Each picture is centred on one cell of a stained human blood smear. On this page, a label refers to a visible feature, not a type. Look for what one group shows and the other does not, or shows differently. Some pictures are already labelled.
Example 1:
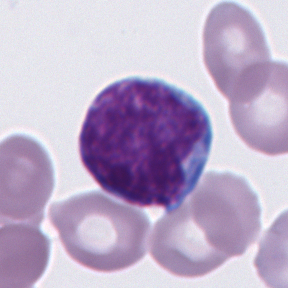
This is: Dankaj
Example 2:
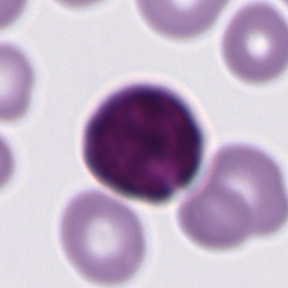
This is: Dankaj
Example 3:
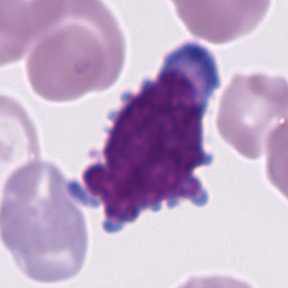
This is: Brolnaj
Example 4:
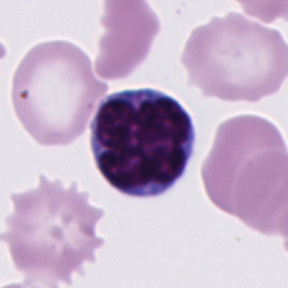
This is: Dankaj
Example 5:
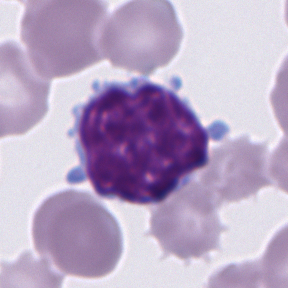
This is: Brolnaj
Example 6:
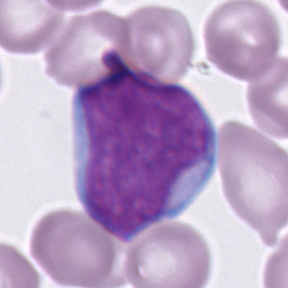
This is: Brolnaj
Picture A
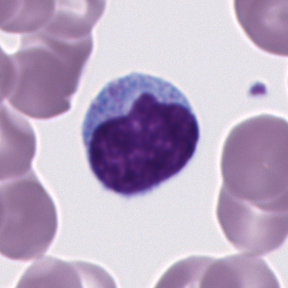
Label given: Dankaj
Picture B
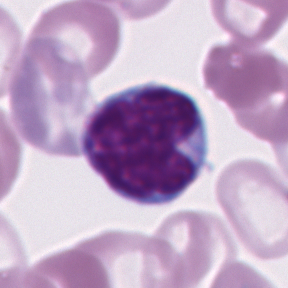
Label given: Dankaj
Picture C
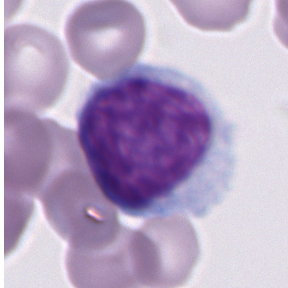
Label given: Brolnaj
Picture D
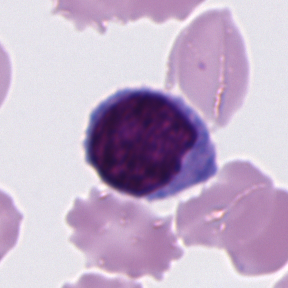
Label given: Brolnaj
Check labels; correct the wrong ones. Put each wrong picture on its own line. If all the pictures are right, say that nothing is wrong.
D should be Dankaj, not Brolnaj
